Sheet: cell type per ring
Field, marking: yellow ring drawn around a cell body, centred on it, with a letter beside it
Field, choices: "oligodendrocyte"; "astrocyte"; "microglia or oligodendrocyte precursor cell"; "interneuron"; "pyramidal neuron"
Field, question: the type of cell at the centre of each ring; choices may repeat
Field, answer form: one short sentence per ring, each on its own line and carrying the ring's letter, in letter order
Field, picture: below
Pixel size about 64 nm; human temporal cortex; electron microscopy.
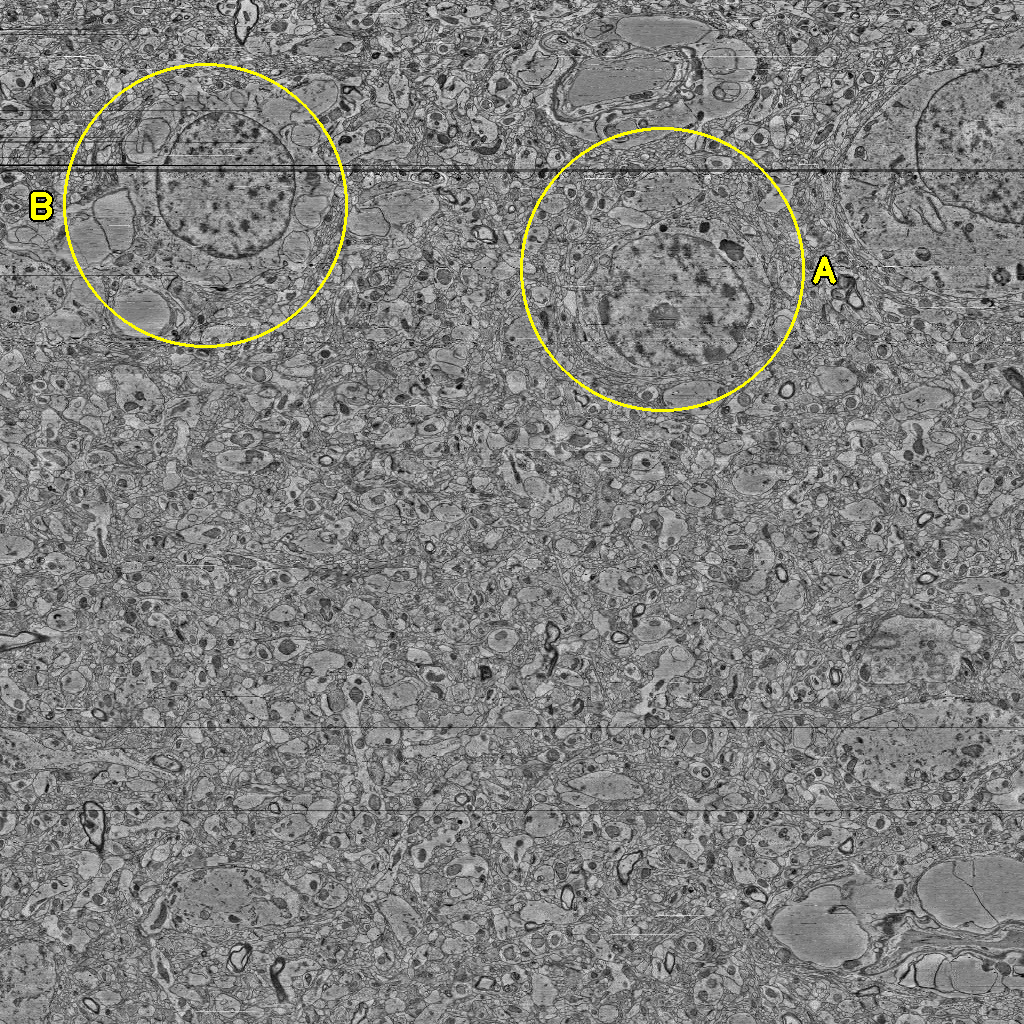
The cell body inside ring A, at its centre, is an interneuron.
The cell body inside ring B, at its centre, is an astrocyte.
